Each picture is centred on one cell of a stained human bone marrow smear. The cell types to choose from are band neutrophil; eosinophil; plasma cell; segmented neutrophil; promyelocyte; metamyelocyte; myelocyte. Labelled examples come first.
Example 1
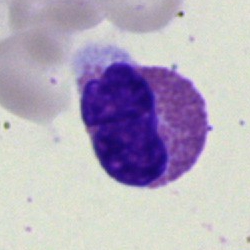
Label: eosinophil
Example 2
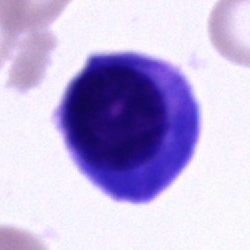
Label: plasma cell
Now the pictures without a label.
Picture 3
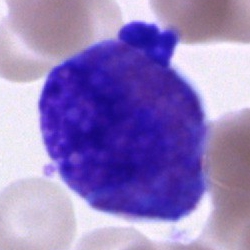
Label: eosinophil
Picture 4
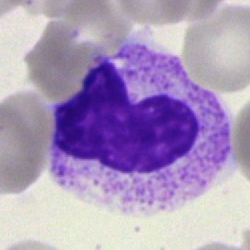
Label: band neutrophil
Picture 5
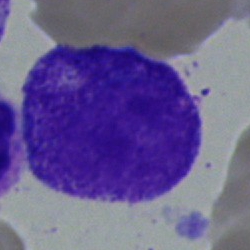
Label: promyelocyte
